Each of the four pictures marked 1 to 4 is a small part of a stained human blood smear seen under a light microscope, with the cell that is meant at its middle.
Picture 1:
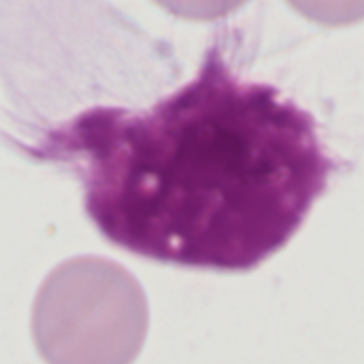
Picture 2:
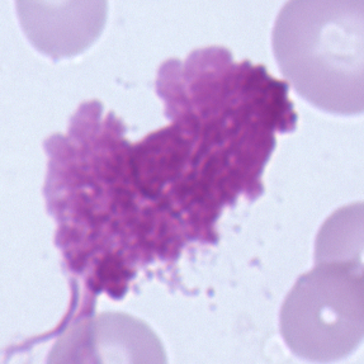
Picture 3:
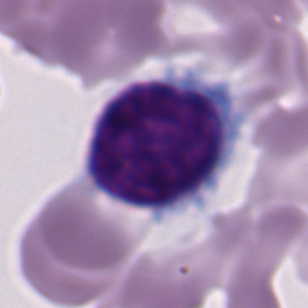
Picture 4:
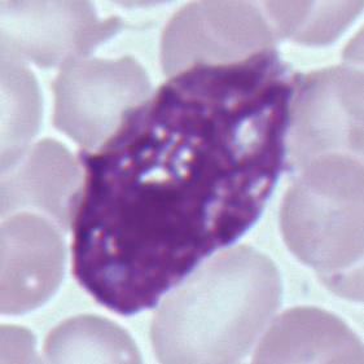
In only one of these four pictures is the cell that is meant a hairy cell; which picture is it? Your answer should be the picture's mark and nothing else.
3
